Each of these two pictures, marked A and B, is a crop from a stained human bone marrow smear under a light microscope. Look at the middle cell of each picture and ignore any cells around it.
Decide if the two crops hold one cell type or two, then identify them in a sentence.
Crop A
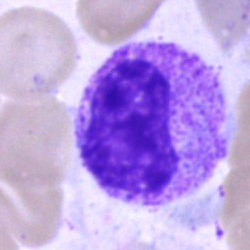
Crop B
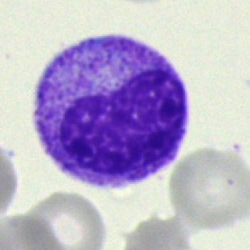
Yes, both crops show metamyelocytes as the central cells.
